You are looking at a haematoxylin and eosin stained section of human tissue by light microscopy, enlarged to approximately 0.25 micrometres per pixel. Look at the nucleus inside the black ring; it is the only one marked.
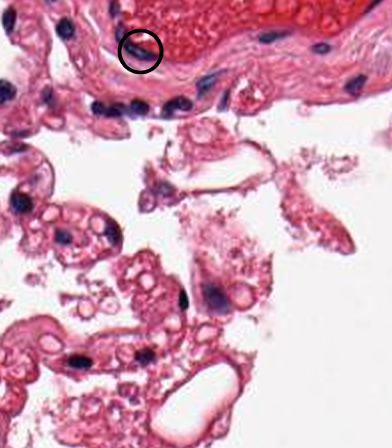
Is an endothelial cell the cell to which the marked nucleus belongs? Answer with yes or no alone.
yes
